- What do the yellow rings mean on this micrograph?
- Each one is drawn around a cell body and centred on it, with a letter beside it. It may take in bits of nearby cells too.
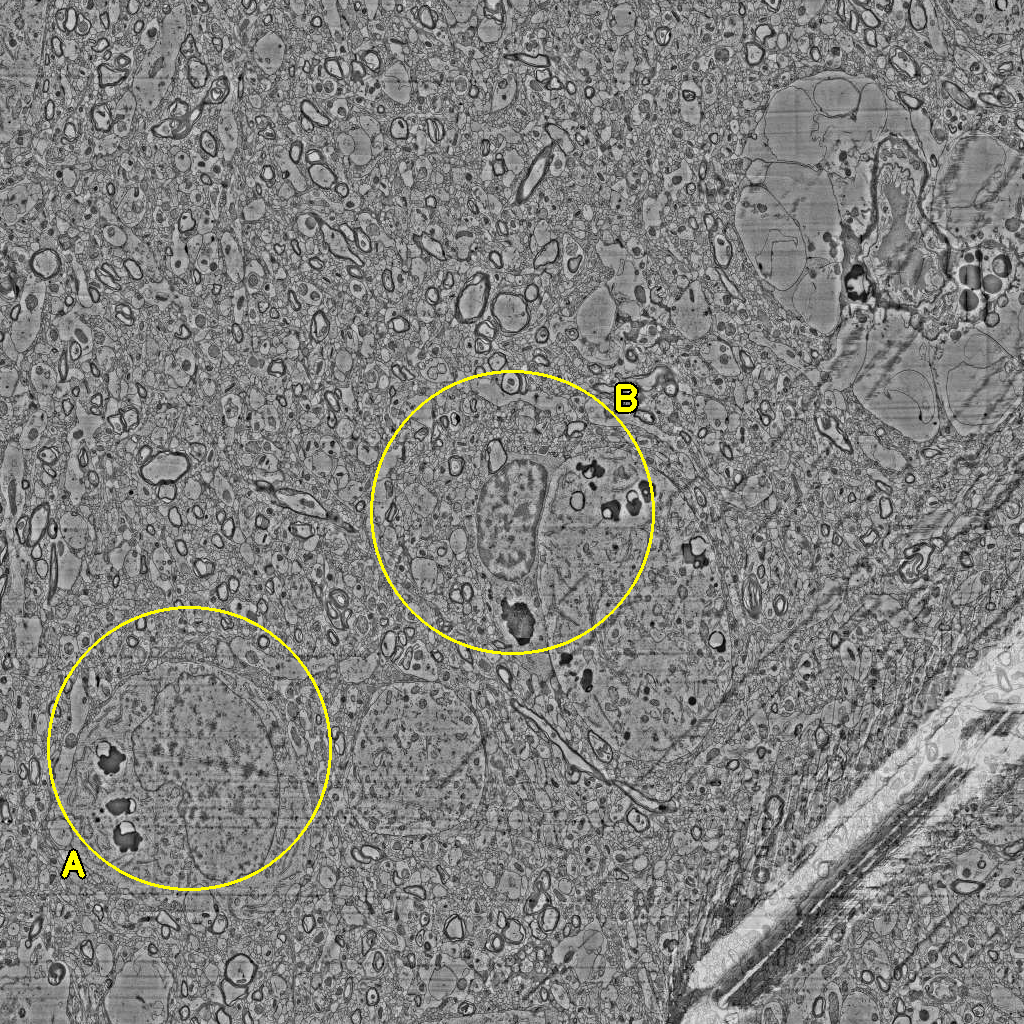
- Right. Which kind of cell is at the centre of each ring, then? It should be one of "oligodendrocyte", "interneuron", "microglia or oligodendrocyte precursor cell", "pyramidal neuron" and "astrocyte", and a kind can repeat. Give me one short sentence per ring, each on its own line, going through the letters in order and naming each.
Ring A circles the cell body of a pyramidal neuron.
Ring B circles the cell body of an oligodendrocyte.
